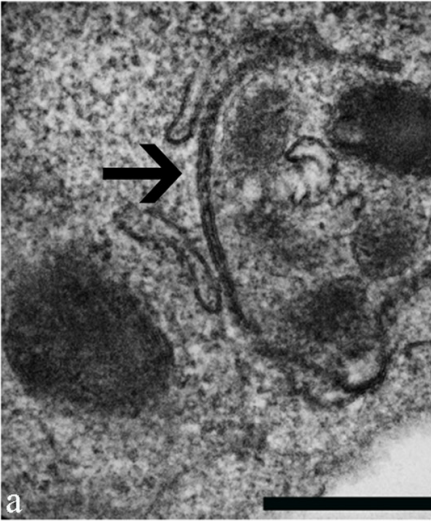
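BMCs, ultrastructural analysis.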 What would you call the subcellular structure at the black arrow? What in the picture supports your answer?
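Autophagic vacuoles. The arrow points to a large rounded compartment bounded by a double membrane. The compartment encloses several dense, rounded bodies and membranous material. It lies within the cytoplasm.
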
